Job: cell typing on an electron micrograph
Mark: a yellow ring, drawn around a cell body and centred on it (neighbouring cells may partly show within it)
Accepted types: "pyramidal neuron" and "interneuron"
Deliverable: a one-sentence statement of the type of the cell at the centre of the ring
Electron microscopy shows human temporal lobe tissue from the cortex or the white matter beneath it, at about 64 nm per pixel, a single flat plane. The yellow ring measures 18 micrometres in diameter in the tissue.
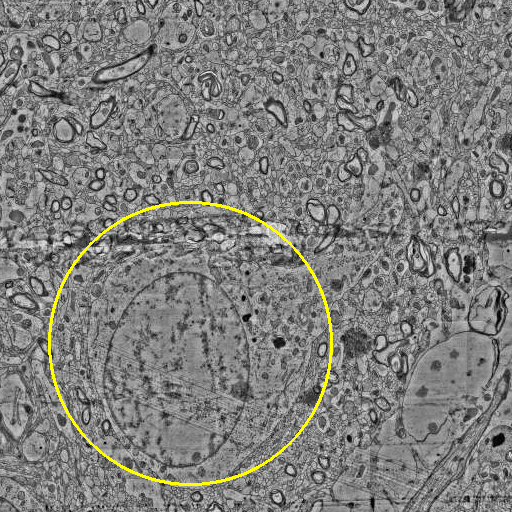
The centred cell body is that of a pyramidal neuron.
